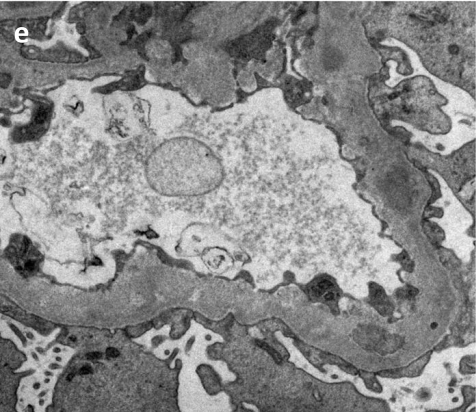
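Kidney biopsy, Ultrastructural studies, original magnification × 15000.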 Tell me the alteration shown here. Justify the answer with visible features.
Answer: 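Diffuse thickening of glomerular basement membrane. A broad grey band surrounds the capillary lumen. The band is much thicker than the thin cell layers on either side.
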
